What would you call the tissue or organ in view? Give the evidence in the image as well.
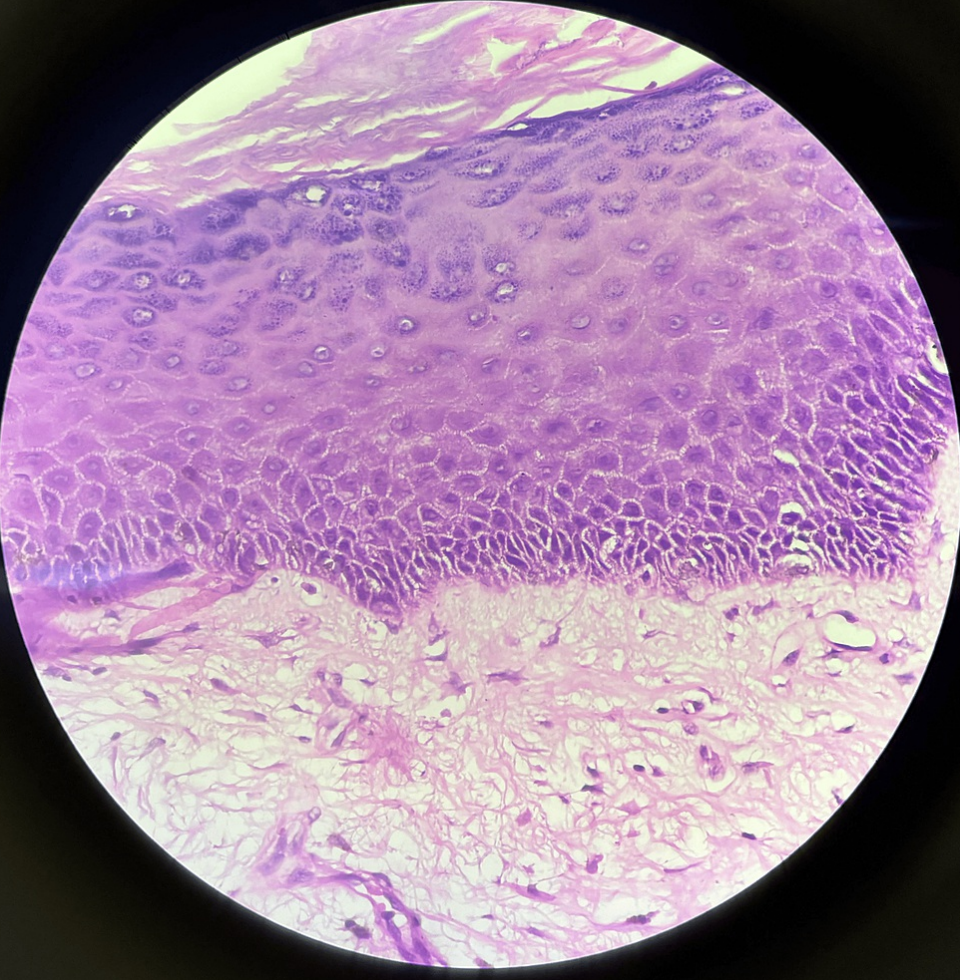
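A thick band of many layers of polygonal cells with distinct cell borders. Cells become flatter toward the upper surface, with pink flaky layers on top. A row of smaller, darker cells lies along the lower border of the band.
Answer: stratified squamous epithelium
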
